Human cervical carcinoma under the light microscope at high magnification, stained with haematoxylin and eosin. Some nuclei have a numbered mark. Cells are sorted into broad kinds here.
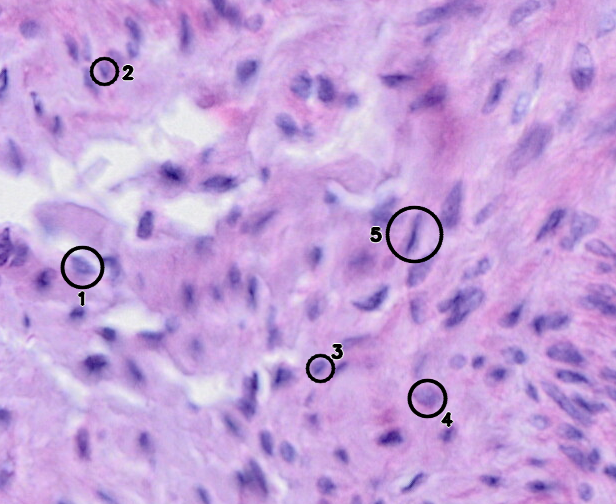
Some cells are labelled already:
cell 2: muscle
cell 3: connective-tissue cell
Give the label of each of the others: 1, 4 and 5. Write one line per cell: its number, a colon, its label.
1: connective-tissue cell
4: muscle
5: connective-tissue cell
